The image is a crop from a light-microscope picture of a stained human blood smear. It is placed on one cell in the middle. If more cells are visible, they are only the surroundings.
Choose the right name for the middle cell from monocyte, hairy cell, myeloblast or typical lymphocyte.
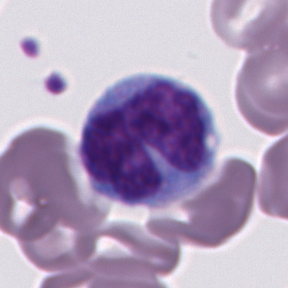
monocyte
